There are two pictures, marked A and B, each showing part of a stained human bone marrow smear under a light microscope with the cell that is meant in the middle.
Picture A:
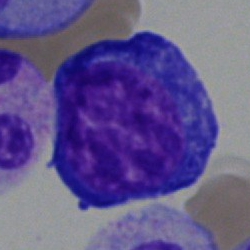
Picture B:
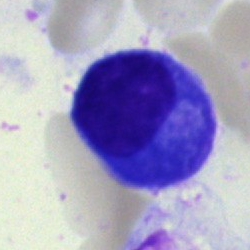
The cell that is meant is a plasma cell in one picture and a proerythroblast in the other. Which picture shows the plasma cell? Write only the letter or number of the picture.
B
